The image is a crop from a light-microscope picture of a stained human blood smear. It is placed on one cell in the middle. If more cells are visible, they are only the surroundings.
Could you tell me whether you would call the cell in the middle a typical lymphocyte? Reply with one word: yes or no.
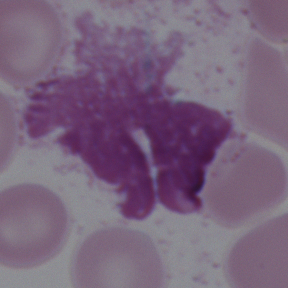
no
